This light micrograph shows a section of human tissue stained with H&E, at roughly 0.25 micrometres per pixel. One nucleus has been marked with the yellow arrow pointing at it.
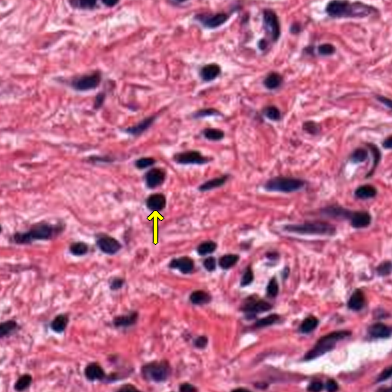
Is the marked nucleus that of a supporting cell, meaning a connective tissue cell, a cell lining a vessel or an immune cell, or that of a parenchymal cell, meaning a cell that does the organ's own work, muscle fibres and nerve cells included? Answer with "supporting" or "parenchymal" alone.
supporting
